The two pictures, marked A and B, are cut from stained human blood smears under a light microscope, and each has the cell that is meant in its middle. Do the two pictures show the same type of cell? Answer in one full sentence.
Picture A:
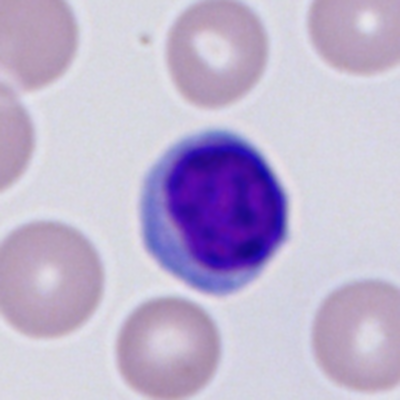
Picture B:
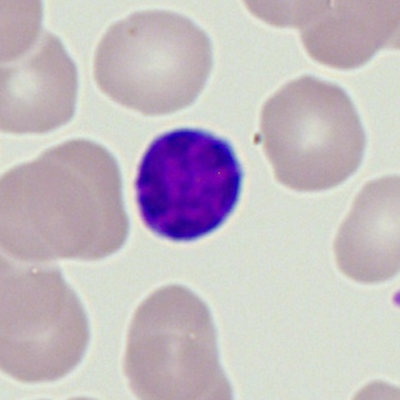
Yes, they are the same type: both are lymphocytes.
